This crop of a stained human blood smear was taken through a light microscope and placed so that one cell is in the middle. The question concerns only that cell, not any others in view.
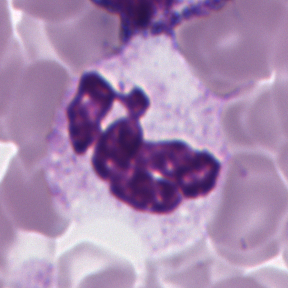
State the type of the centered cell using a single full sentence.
At the center of the crop sits a neutrophil.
